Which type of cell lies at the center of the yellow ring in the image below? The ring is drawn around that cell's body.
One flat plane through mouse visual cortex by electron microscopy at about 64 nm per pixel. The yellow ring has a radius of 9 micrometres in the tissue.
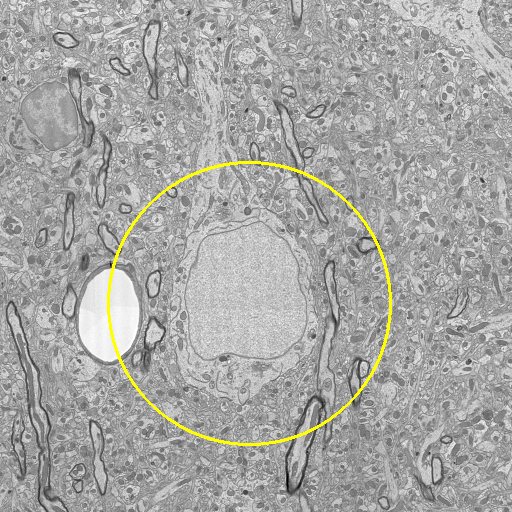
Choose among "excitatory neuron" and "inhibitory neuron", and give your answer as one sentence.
The cell body at the center belongs to an excitatory neuron.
